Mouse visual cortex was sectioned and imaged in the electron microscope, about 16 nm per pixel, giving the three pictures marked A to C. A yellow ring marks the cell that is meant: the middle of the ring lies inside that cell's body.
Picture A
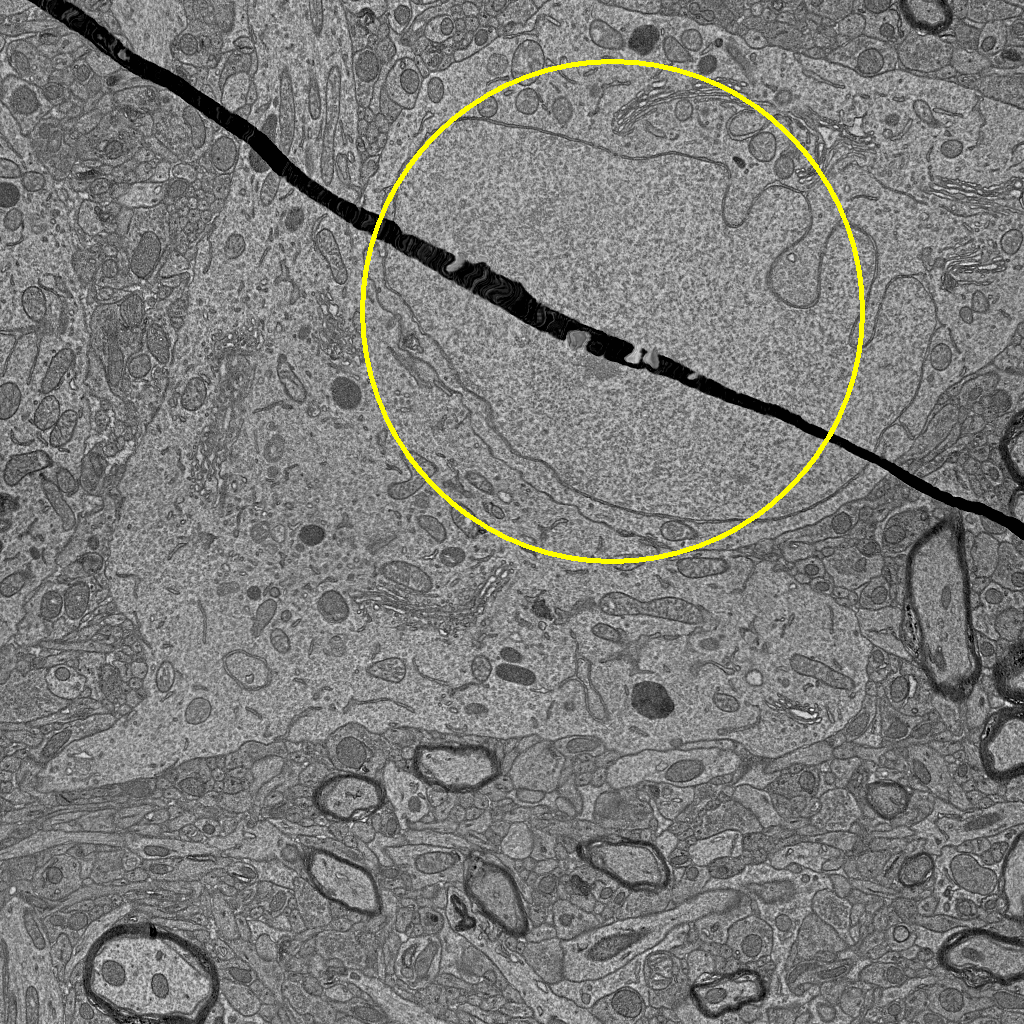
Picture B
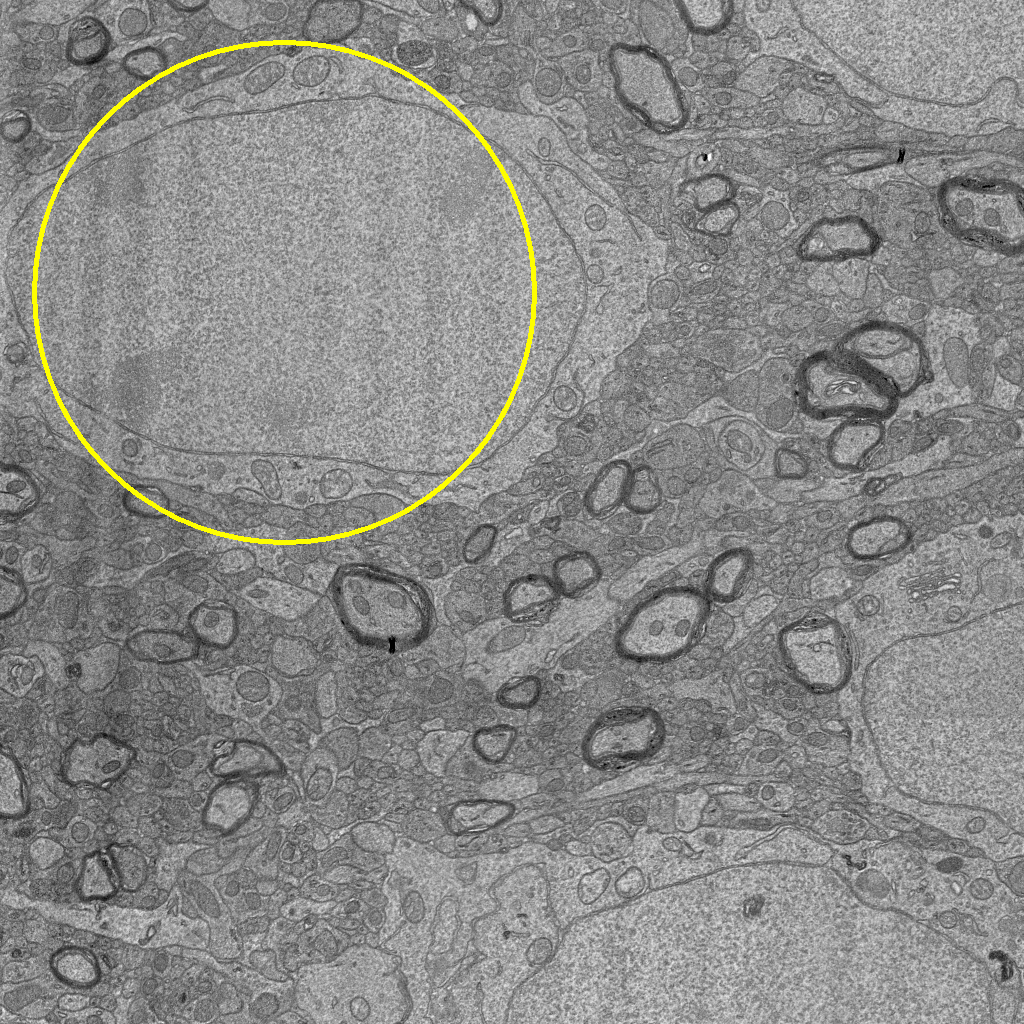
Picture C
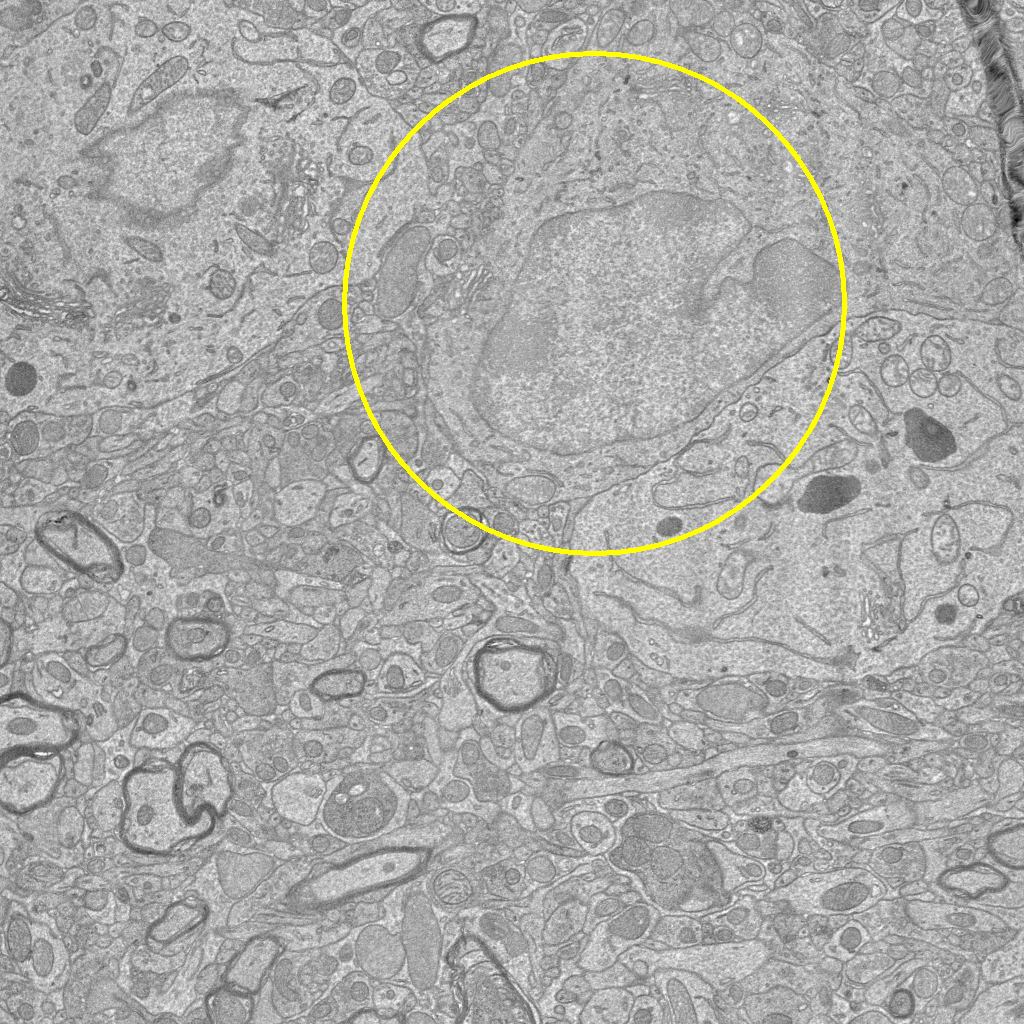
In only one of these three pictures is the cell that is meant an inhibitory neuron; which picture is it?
Picture A is the one that shows the inhibitory neuron.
